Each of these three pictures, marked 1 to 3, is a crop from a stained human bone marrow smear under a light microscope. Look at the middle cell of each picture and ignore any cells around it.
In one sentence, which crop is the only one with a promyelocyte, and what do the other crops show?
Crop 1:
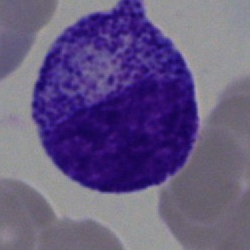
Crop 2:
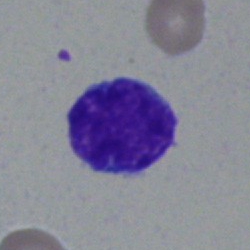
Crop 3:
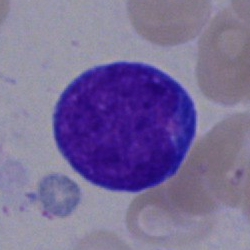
Crop 1 shows a promyelocyte, while crop 2 is a lymphocyte and crop 3 is a blast.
